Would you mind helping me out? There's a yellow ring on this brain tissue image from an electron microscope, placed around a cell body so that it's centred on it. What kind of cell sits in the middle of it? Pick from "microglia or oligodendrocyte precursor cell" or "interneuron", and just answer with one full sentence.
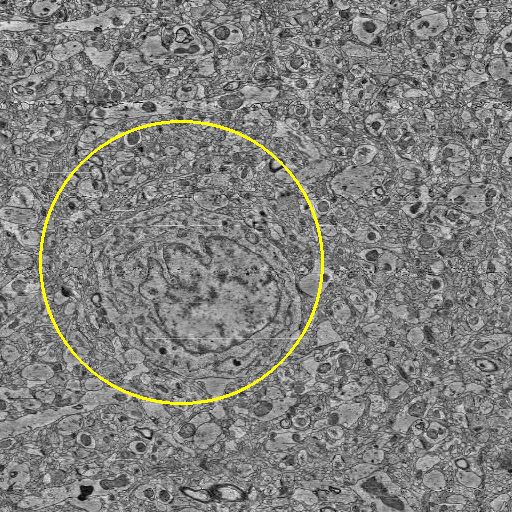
What sits in the middle of that yellow ring is an interneuron, from your choices.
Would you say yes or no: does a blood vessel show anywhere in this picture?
No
